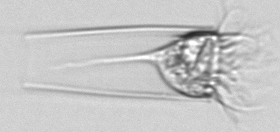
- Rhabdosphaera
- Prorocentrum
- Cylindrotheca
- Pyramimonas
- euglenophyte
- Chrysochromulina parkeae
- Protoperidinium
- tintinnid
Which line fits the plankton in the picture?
tintinnid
